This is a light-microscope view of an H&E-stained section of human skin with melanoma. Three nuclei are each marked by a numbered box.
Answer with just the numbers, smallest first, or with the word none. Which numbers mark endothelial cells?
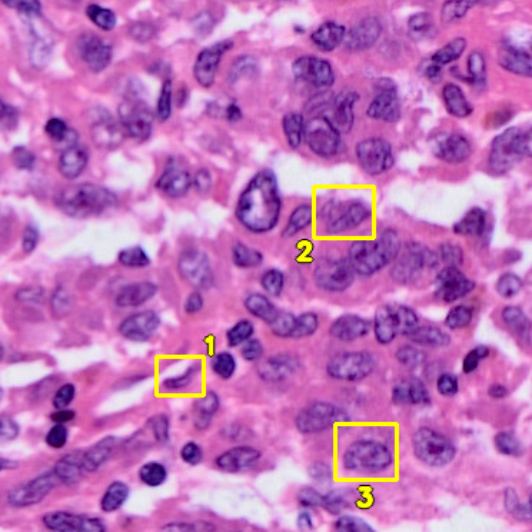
1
